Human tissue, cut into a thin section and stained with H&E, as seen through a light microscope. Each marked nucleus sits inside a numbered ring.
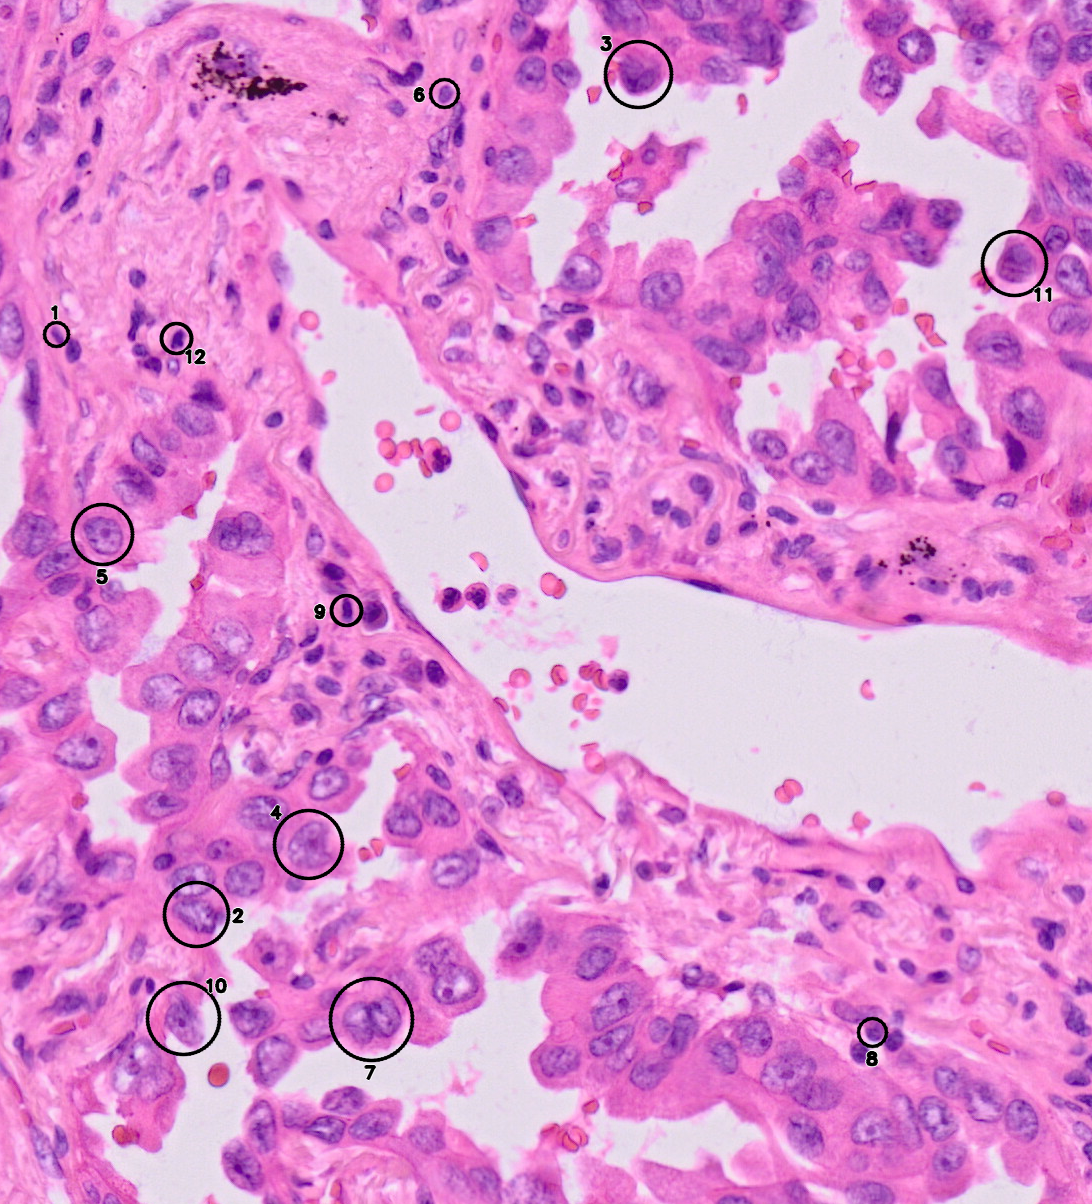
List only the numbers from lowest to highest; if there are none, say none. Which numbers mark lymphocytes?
1, 6, 8, 9, 12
